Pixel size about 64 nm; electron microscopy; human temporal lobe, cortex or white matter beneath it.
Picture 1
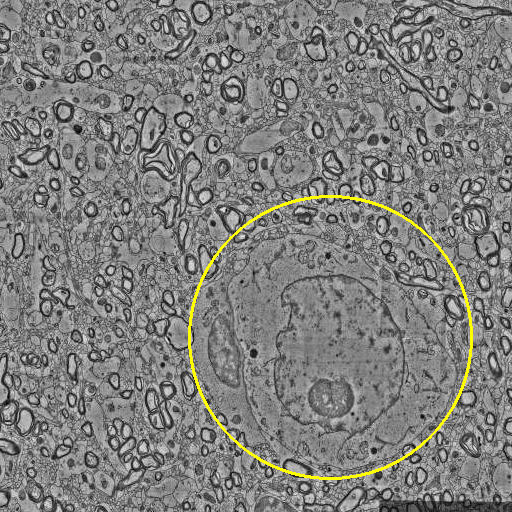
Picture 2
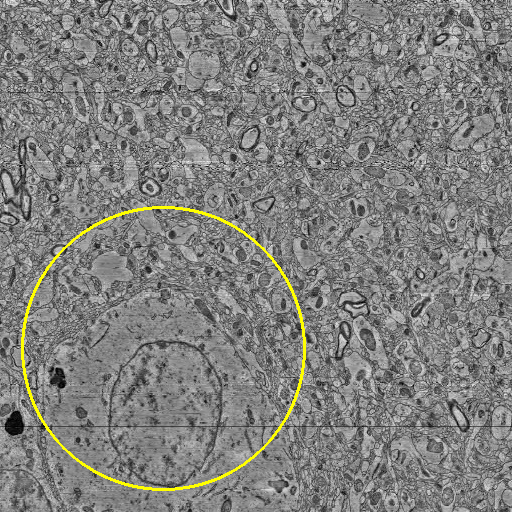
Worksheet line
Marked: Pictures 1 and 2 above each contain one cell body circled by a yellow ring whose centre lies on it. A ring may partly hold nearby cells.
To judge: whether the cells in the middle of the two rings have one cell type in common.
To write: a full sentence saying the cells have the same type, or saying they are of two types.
The cells in the middle of the rings in Picture 1 and Picture 2 have the same type.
